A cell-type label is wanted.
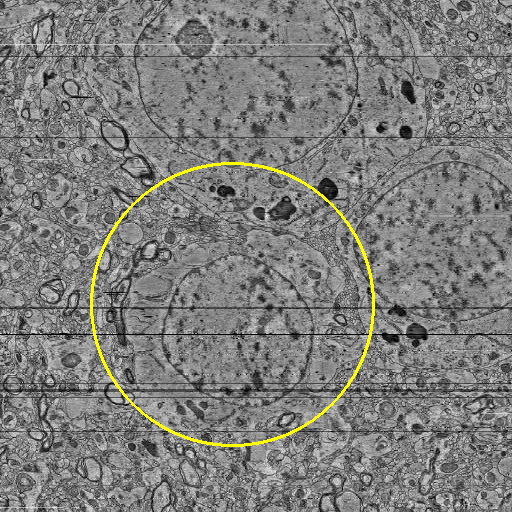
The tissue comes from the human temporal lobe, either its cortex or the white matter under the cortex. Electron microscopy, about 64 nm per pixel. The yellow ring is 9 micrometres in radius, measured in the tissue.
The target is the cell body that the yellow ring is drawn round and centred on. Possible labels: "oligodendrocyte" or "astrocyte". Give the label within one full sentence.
Of the labels offered, the cell in the middle of the yellow ring is an astrocyte.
